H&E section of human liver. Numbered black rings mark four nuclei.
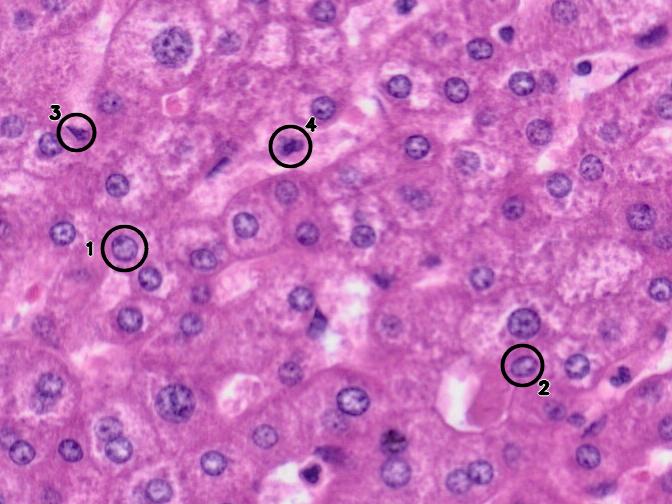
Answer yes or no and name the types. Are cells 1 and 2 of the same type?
Yes, both are hepatocytes.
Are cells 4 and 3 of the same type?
No, cell 4 is a Kupffer cell and cell 3 is an endothelial cell.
